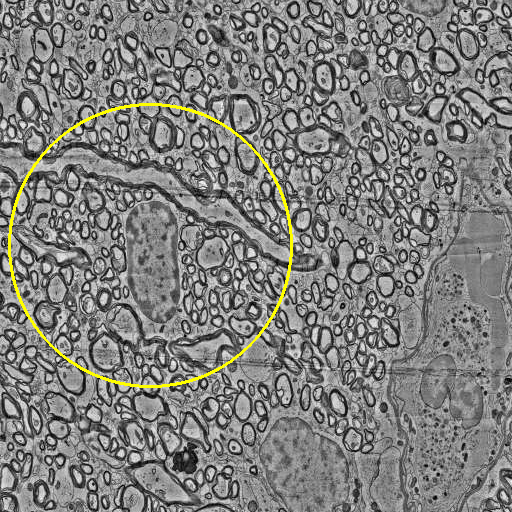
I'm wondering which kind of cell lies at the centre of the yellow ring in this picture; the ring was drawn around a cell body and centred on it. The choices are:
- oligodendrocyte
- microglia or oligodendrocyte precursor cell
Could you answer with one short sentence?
At the centre of the ring lies a microglial cell or oligodendrocyte precursor cell.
